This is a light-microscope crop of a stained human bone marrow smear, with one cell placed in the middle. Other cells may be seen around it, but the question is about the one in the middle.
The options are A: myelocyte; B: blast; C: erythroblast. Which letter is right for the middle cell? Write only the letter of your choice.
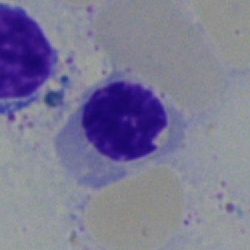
C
